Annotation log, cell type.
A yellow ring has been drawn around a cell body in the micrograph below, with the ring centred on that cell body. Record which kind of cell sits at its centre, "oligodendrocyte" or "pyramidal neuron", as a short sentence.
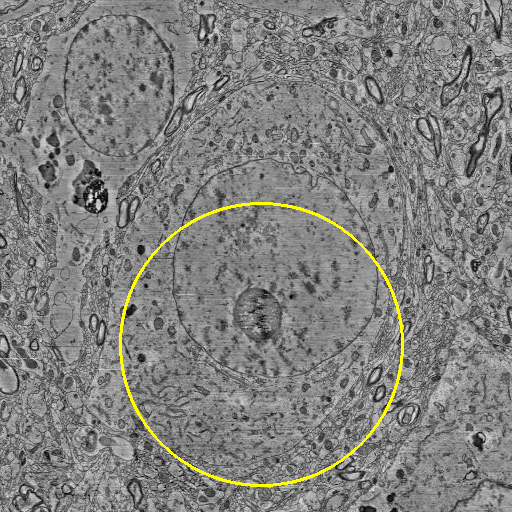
The cell at the centre of this ring is a pyramidal neuron.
